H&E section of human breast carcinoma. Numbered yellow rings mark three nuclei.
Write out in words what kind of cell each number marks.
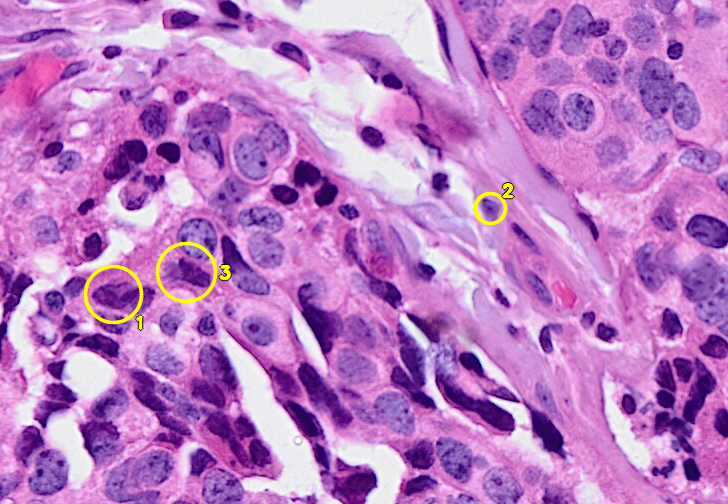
Cells 1 and 3 are carcinoma cells. Cell 2 is a fibroblast.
